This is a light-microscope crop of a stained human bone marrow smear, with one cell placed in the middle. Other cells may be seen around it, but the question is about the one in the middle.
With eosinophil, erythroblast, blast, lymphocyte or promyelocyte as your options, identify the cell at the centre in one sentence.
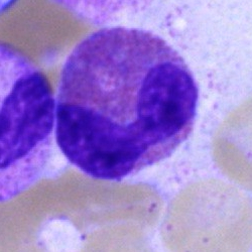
The centrally placed cell is classified as an eosinophil.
